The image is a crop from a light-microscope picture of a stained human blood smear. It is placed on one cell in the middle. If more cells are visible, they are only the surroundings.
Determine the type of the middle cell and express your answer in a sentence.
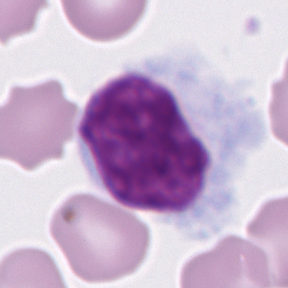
The crop's centre is taken up by a hairy cell.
